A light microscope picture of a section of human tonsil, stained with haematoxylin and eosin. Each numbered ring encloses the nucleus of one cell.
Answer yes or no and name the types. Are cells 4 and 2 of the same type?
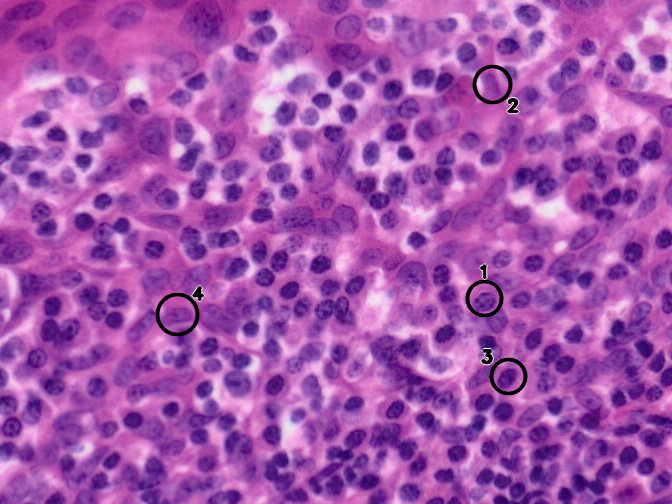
Yes, the two cells marked 4 and 2 are both squamous epithelial cells.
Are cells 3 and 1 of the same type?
Yes, that is right: cells 3 and 1 are both plasma cells.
